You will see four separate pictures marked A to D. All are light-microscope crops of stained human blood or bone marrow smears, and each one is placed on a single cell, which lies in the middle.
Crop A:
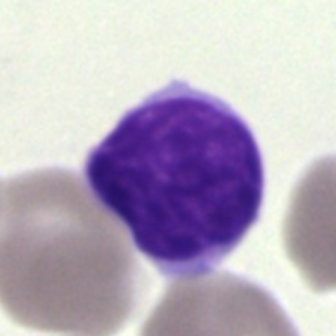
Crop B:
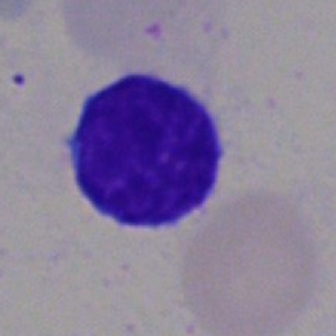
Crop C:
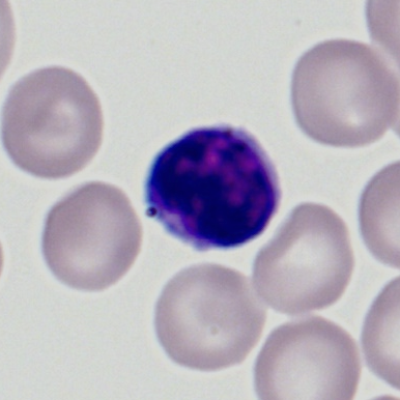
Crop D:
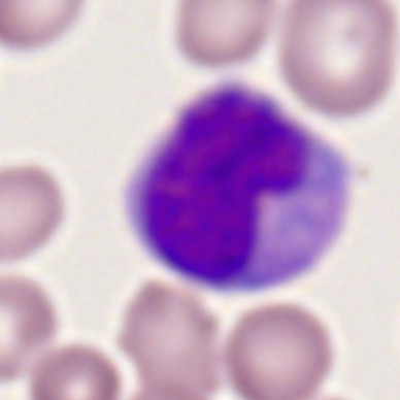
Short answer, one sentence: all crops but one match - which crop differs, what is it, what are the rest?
The exception in this group is crop D, a monocyte, and the others are all lymphocytes.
